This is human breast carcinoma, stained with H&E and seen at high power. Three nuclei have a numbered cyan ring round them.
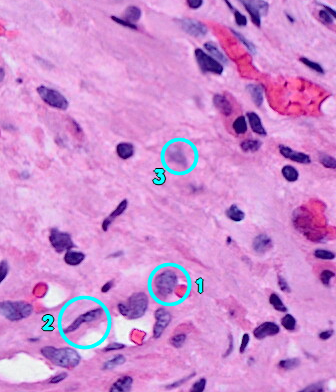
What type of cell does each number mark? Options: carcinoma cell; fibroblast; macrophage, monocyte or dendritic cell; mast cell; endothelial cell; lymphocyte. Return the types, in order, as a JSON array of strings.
["endothelial cell", "endothelial cell", "fibroblast"]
